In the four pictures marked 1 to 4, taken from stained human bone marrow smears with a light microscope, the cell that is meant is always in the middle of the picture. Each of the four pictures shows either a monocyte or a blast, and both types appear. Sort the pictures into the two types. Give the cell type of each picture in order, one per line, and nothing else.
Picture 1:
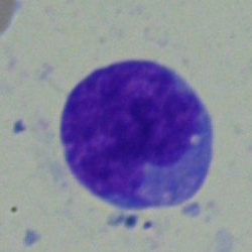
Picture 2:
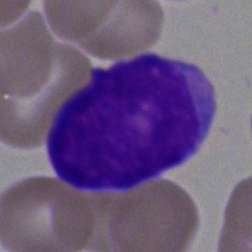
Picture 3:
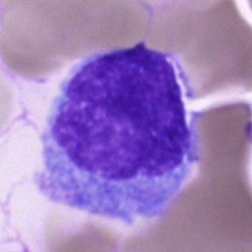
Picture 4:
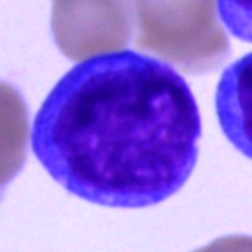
blast
blast
monocyte
blast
